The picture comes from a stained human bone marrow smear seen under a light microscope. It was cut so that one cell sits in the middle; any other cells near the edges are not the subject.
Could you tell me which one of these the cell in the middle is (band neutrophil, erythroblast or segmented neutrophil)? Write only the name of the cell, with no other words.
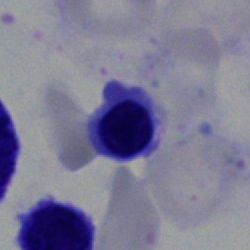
erythroblast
